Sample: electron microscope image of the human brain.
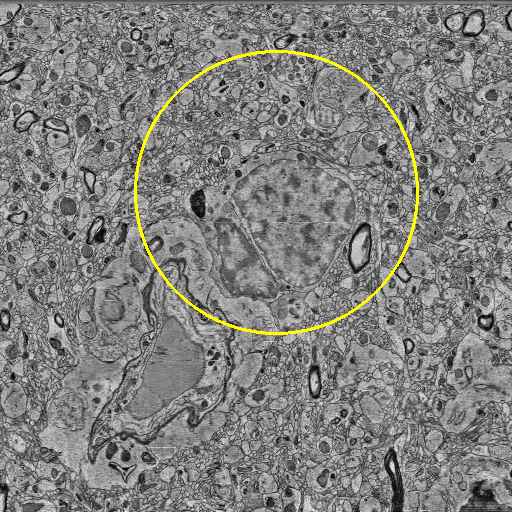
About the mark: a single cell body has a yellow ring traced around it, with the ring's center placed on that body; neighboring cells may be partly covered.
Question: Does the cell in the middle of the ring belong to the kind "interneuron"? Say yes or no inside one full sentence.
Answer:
No, the cell at the ring's center in this image belongs to a different kind.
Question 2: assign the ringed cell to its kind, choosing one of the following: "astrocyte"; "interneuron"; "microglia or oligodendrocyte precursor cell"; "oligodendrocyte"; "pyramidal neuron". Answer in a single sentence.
Instead, the cell at the centre of the ring is an oligodendrocyte.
